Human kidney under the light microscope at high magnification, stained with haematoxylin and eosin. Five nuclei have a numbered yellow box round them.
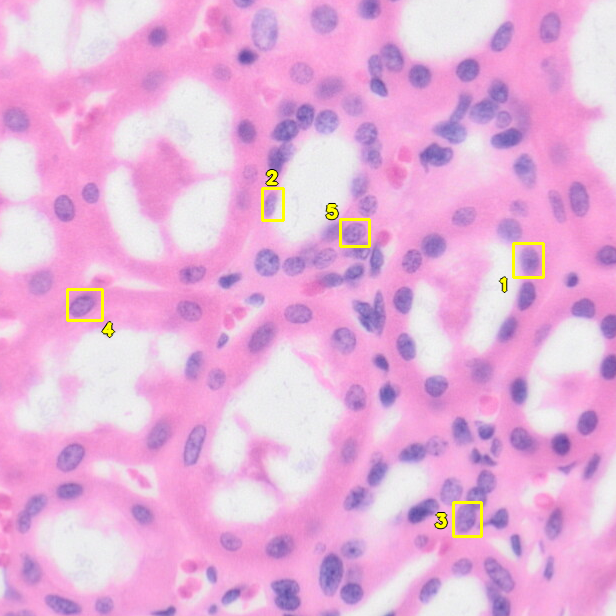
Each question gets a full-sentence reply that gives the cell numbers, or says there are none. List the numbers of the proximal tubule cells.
Among the labelled cells, only the cell labelled 4 is a proximal tubule cell.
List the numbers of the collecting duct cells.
The cells that have numbers 2, 3 and 5 are collecting duct cells.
